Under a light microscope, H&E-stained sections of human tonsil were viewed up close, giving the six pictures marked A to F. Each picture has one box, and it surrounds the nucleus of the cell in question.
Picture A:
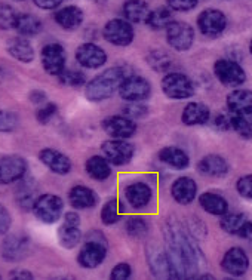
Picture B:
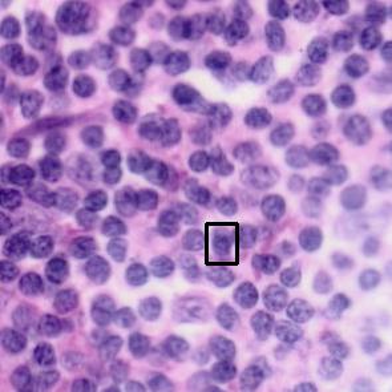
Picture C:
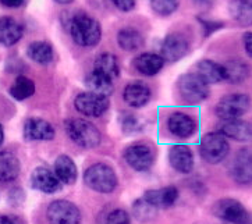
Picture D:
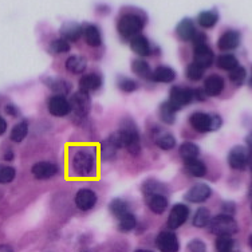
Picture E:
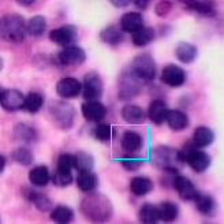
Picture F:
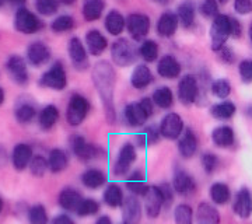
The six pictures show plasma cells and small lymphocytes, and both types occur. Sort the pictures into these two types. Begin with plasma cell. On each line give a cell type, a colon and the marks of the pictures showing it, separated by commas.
plasma cell: A, C, D
small lymphocyte: B, E, F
